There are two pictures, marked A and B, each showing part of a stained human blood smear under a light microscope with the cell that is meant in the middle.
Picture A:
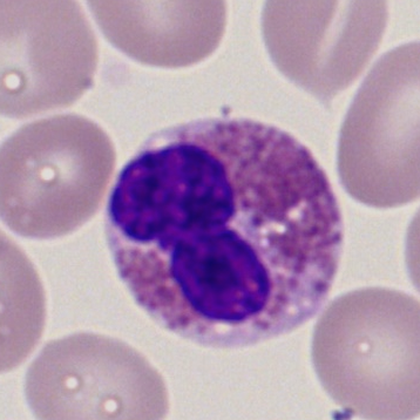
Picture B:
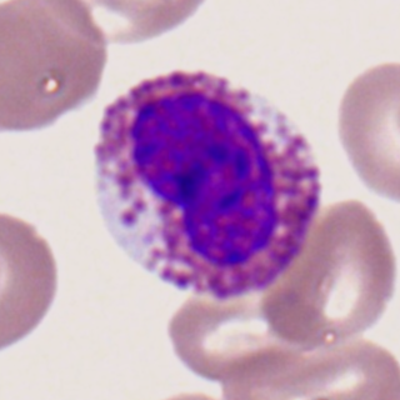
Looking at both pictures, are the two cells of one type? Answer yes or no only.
yes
